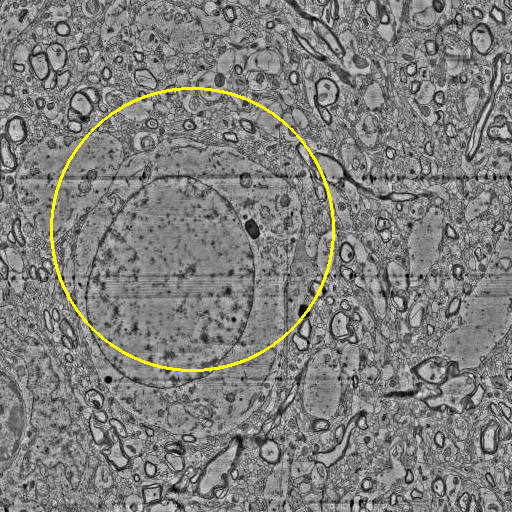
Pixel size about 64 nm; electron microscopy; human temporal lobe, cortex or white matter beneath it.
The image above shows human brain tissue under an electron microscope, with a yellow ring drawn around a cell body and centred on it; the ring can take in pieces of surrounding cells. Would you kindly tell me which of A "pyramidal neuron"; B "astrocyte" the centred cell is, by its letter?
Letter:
A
